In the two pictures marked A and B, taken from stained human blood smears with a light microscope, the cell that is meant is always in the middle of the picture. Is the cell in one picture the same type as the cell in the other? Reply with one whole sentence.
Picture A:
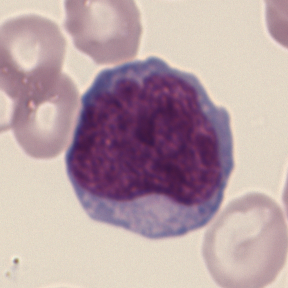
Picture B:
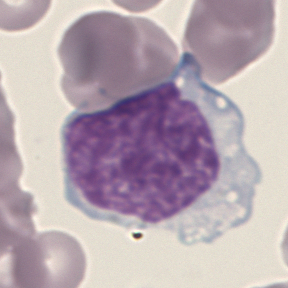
Yes; the cells in both pictures are myeloblasts.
